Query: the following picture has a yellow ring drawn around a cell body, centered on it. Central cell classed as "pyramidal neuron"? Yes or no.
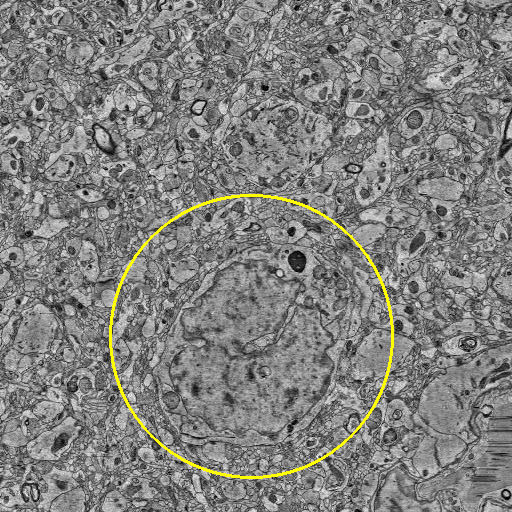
yes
